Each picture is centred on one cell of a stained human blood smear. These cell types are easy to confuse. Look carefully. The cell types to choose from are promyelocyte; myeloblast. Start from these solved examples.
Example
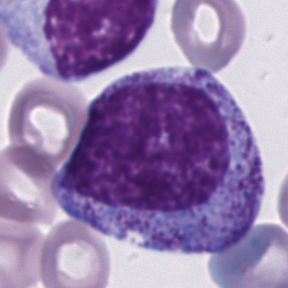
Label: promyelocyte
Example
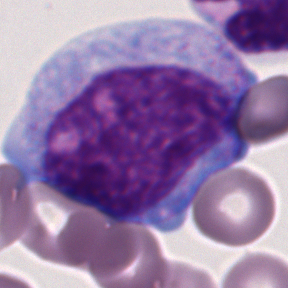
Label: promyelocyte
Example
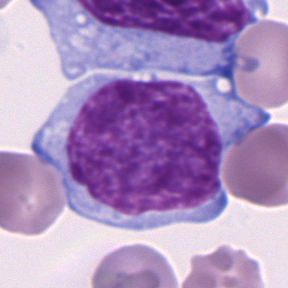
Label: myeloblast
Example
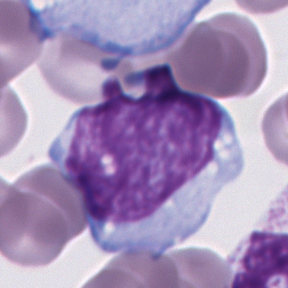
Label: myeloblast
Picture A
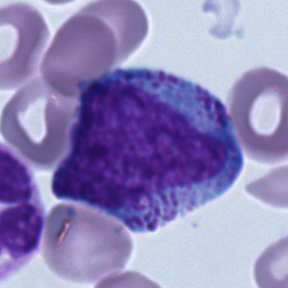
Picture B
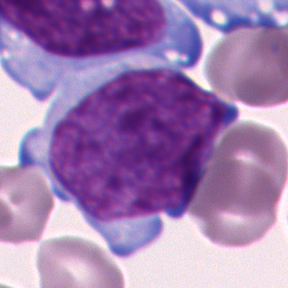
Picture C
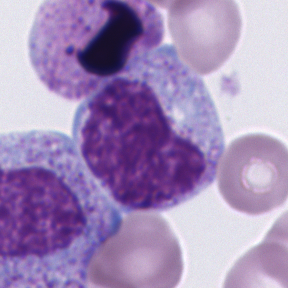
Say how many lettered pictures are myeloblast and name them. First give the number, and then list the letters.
1, namely B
